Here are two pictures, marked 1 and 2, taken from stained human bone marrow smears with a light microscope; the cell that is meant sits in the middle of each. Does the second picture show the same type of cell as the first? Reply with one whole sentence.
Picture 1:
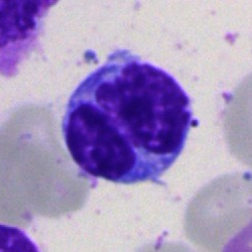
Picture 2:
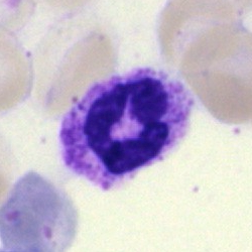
No. Picture 1 shows a monocyte, but picture 2 shows a segmented neutrophil.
